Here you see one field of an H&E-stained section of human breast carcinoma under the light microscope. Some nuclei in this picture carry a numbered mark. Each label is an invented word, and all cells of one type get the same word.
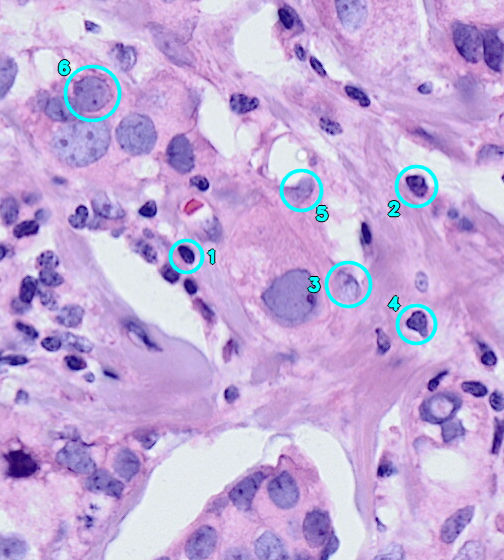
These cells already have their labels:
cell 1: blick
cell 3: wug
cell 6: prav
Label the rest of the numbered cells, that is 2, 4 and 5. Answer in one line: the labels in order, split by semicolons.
blick; blick; wug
